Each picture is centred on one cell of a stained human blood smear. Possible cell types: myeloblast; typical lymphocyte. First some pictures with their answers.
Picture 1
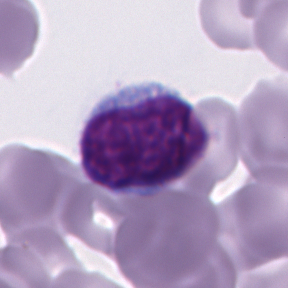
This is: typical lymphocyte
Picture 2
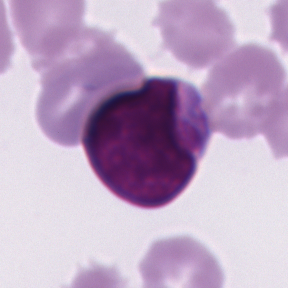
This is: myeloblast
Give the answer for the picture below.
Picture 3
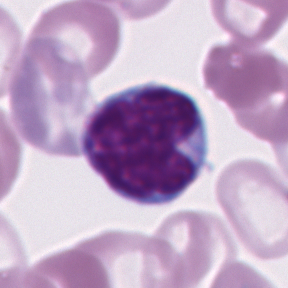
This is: typical lymphocyte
